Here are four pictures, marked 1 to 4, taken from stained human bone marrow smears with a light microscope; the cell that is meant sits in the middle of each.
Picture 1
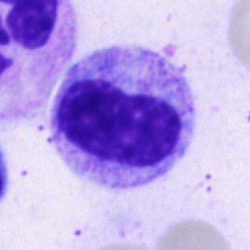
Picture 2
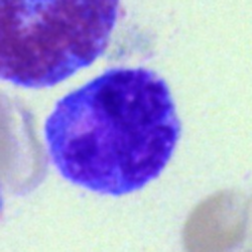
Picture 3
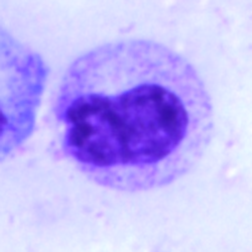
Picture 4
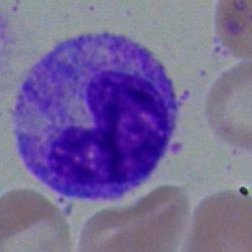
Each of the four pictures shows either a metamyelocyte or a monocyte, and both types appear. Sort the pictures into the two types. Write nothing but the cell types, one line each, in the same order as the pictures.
metamyelocyte
monocyte
metamyelocyte
metamyelocyte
